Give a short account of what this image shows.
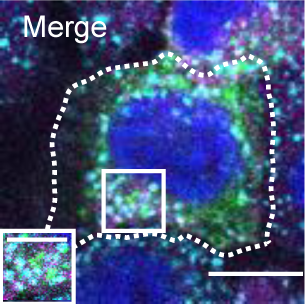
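A large oval blue nucleus lies near the centre of the cell. Around it the cytoplasm is filled with many small bright puncta in green and cyan, densest in a ring close to the nucleus and thinning towards the cell edge. Diffuse faint magenta fills parts of the cytoplasm.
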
